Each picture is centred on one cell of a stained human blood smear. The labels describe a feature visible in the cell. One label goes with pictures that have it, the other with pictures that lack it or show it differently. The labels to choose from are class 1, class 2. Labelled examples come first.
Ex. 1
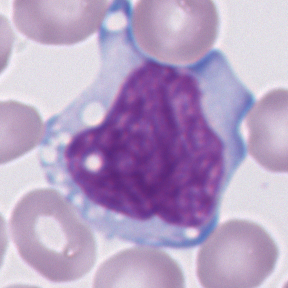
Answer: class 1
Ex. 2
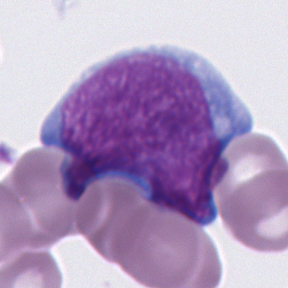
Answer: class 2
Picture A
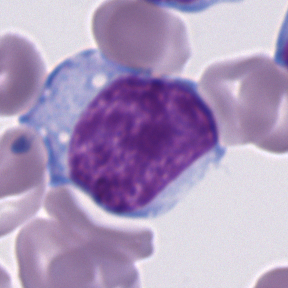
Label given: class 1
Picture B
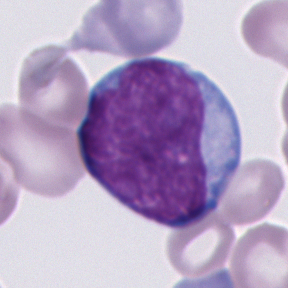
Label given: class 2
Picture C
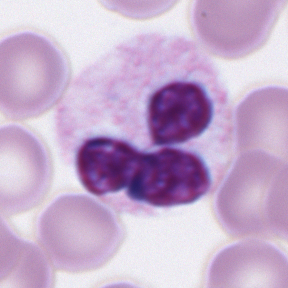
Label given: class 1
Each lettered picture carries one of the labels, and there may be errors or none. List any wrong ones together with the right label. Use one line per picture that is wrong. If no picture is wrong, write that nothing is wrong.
C: change class 1 to class 2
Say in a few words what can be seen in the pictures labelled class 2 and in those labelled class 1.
Seen in class 2: no vacuoles; seen in class 1: vacuoles present.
